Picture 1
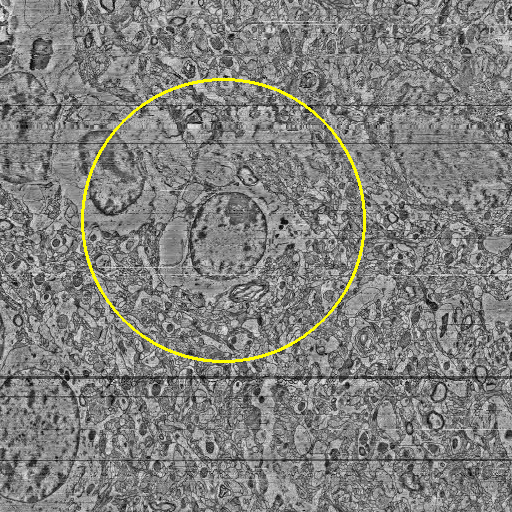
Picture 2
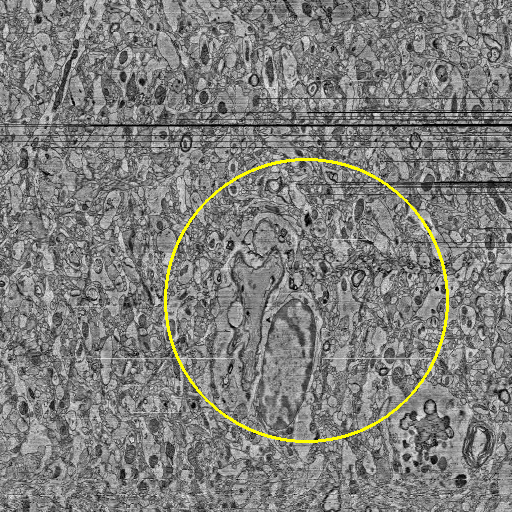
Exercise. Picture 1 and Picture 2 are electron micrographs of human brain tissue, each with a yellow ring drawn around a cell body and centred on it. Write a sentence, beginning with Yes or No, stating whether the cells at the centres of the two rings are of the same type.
No, the cells at the centres of the rings are of two types.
